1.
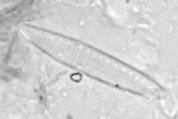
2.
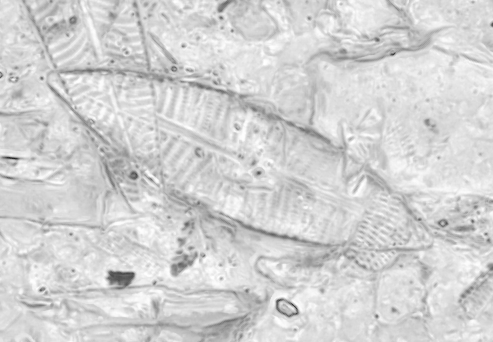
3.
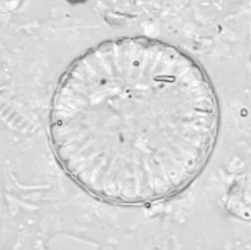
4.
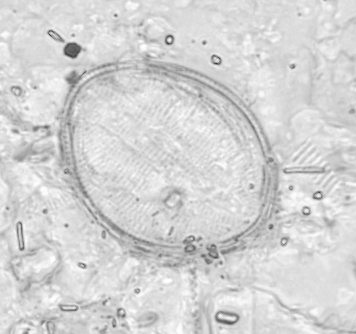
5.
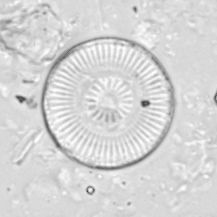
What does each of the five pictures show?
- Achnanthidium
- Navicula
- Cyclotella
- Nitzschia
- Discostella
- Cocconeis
1: Nitzschia
2: Navicula
3: Cyclotella
4: Cocconeis
5: Discostella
